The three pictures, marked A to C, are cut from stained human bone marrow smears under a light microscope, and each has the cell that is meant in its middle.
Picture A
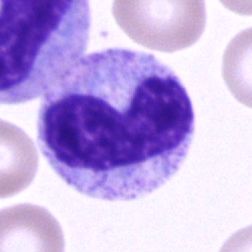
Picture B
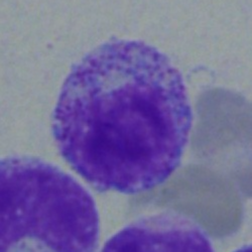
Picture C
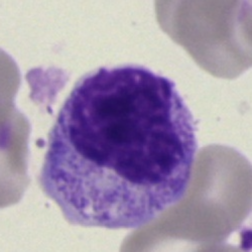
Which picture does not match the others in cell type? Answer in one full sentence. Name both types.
Picture A differs, because its cell is a metamyelocyte and the rest are myelocytes.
